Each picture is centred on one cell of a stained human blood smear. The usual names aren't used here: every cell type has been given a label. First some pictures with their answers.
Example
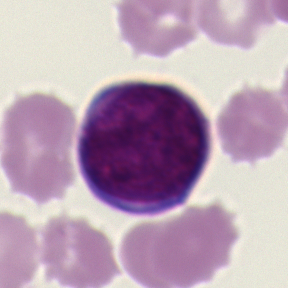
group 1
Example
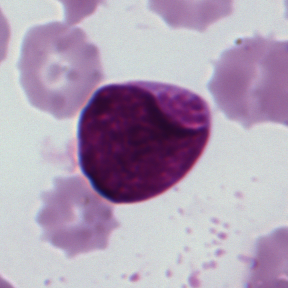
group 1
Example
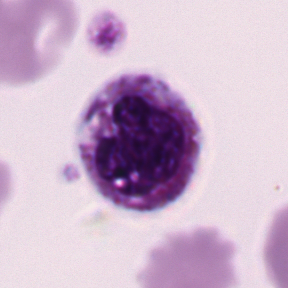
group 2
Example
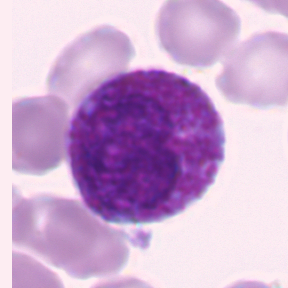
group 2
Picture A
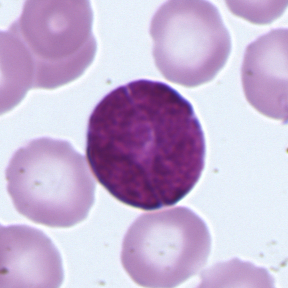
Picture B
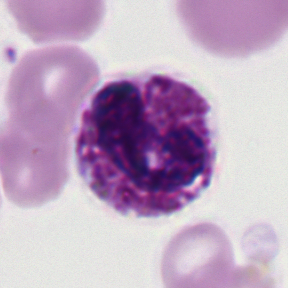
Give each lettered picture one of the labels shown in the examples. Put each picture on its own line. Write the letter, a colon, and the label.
A: group 1
B: group 2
